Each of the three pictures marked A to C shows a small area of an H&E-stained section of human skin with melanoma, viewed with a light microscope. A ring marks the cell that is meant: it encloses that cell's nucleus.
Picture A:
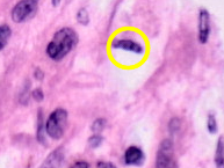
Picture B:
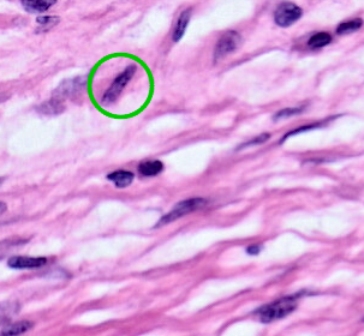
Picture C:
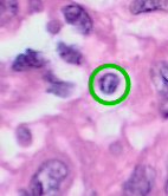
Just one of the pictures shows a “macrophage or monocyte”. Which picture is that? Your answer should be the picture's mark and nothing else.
B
